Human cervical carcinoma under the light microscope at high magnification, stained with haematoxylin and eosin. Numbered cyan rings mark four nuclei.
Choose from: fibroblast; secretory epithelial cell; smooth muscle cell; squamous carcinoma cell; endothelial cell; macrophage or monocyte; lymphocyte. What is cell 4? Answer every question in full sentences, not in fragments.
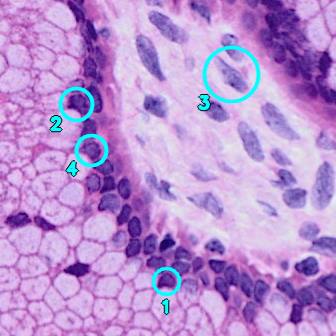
The identity of cell 4 is that of a secretory epithelial cell.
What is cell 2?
The cell referred to as 2 is a secretory epithelial cell.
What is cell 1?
In the tissue shown, cell 1 is a secretory epithelial cell.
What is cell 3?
The cell identified by number 3 is a fibroblast.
